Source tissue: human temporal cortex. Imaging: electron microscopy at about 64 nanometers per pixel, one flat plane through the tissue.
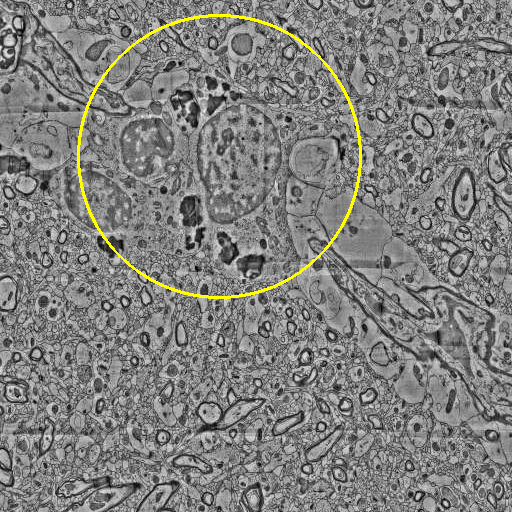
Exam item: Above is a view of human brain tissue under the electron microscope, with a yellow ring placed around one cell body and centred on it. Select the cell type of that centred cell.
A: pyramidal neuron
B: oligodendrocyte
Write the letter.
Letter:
B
